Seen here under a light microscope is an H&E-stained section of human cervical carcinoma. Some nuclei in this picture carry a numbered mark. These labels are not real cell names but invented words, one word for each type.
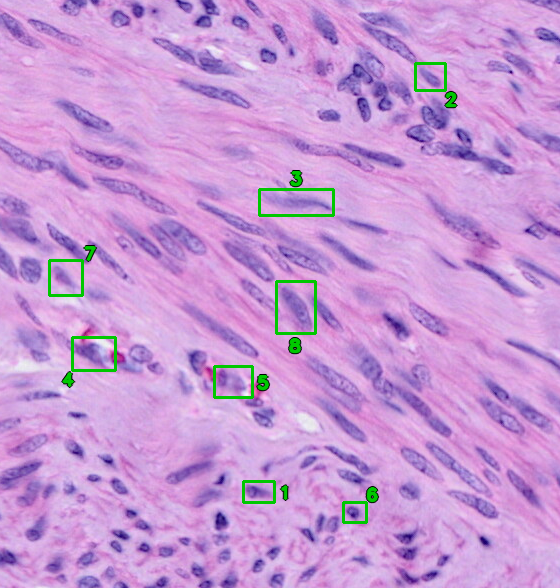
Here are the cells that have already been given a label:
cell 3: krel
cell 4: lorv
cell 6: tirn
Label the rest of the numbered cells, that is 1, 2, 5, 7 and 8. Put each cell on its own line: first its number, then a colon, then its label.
1: tirn
2: tirn
5: lorv
7: krel
8: tirn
